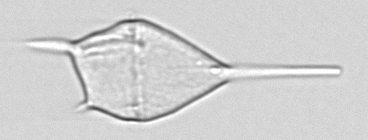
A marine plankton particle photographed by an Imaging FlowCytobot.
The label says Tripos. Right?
Right.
